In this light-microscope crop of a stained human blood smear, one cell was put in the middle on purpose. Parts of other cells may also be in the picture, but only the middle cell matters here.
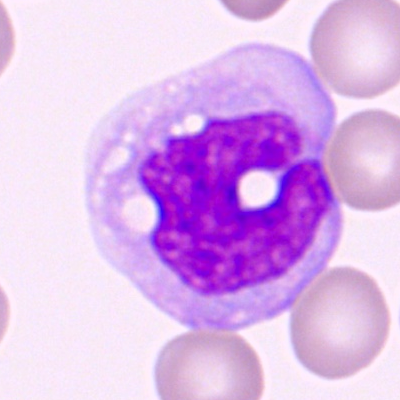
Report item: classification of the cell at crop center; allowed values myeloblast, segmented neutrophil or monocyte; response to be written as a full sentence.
The centrally located cell in the crop is a monocyte.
